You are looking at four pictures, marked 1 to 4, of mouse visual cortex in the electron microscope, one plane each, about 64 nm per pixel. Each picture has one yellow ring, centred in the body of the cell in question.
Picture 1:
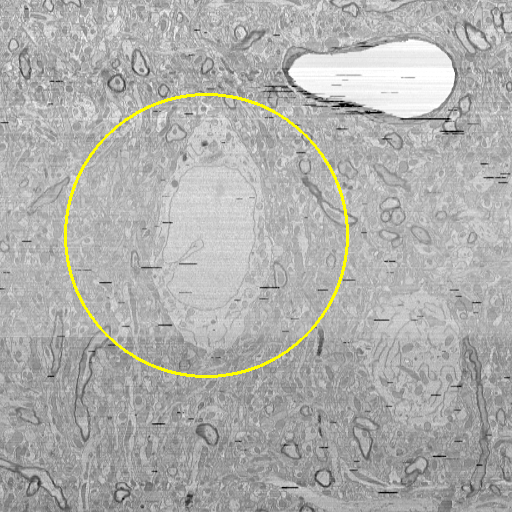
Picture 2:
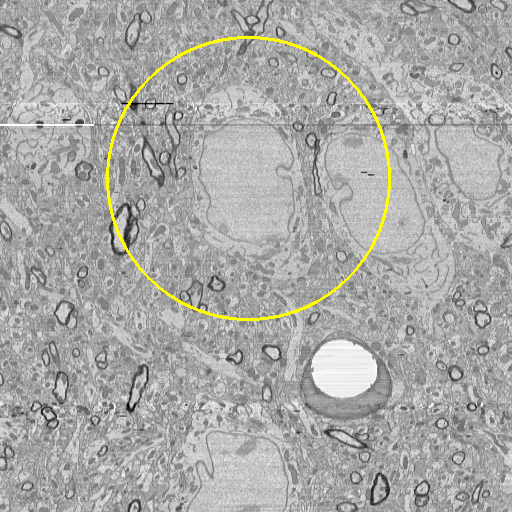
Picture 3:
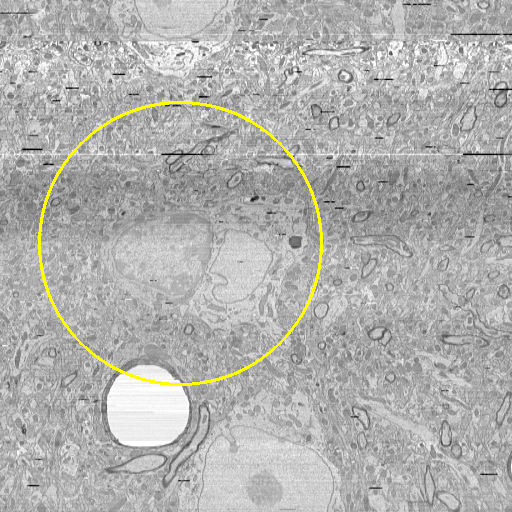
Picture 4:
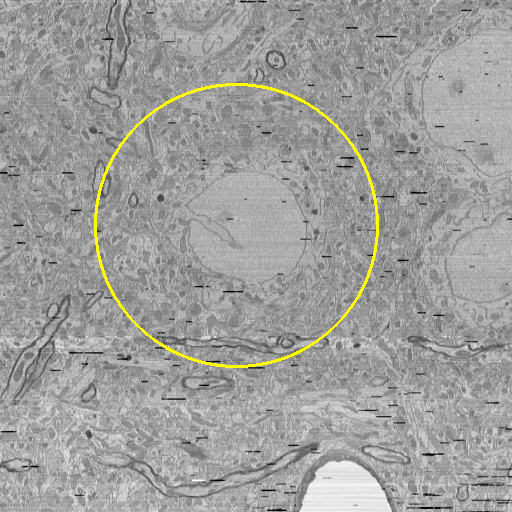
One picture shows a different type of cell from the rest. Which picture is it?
All pictures except 3 show excitatory neurons; picture 3 shows an oligodendrocyte.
